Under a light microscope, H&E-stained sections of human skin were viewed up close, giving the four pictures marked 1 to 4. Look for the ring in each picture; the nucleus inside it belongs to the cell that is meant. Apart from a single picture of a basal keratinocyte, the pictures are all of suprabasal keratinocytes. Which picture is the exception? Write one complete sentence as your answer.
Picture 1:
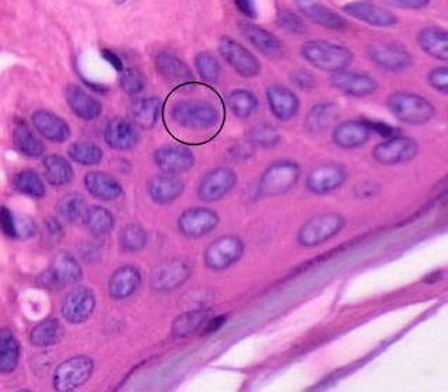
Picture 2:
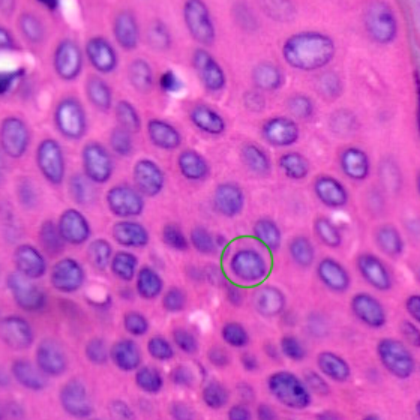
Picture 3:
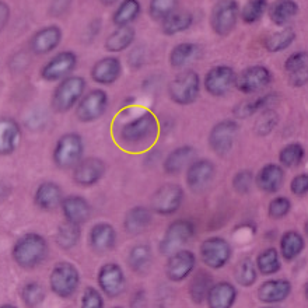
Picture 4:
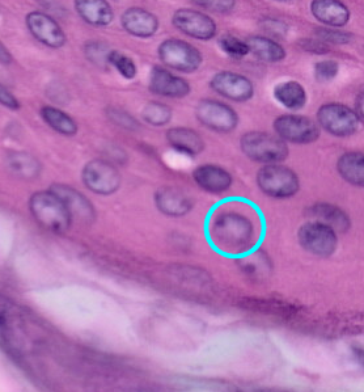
The cell in picture 1 is the basal keratinocyte.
